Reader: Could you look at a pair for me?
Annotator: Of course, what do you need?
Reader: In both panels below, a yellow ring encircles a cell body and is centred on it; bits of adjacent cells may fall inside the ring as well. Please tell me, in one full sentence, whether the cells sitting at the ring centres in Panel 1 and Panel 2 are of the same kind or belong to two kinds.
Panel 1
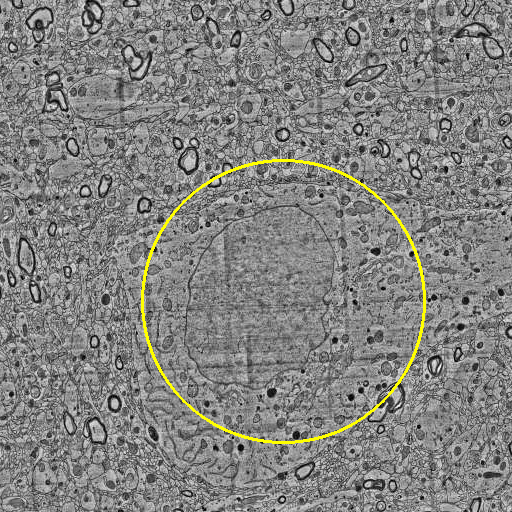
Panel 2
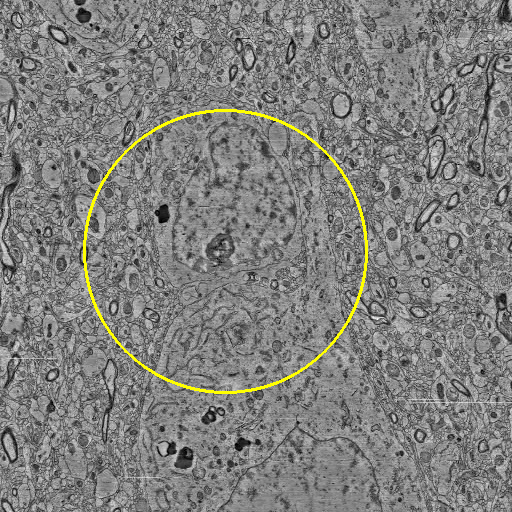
The cell at the ring's centre in Panel 1 and the one in Panel 2 belong to two kinds.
